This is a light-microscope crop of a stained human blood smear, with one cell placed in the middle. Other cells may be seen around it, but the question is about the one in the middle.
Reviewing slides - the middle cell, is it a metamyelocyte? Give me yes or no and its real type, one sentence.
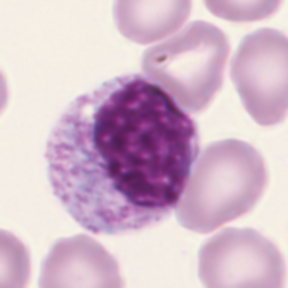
Yes, the cell positioned at the centre of the crop is a metamyelocyte.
